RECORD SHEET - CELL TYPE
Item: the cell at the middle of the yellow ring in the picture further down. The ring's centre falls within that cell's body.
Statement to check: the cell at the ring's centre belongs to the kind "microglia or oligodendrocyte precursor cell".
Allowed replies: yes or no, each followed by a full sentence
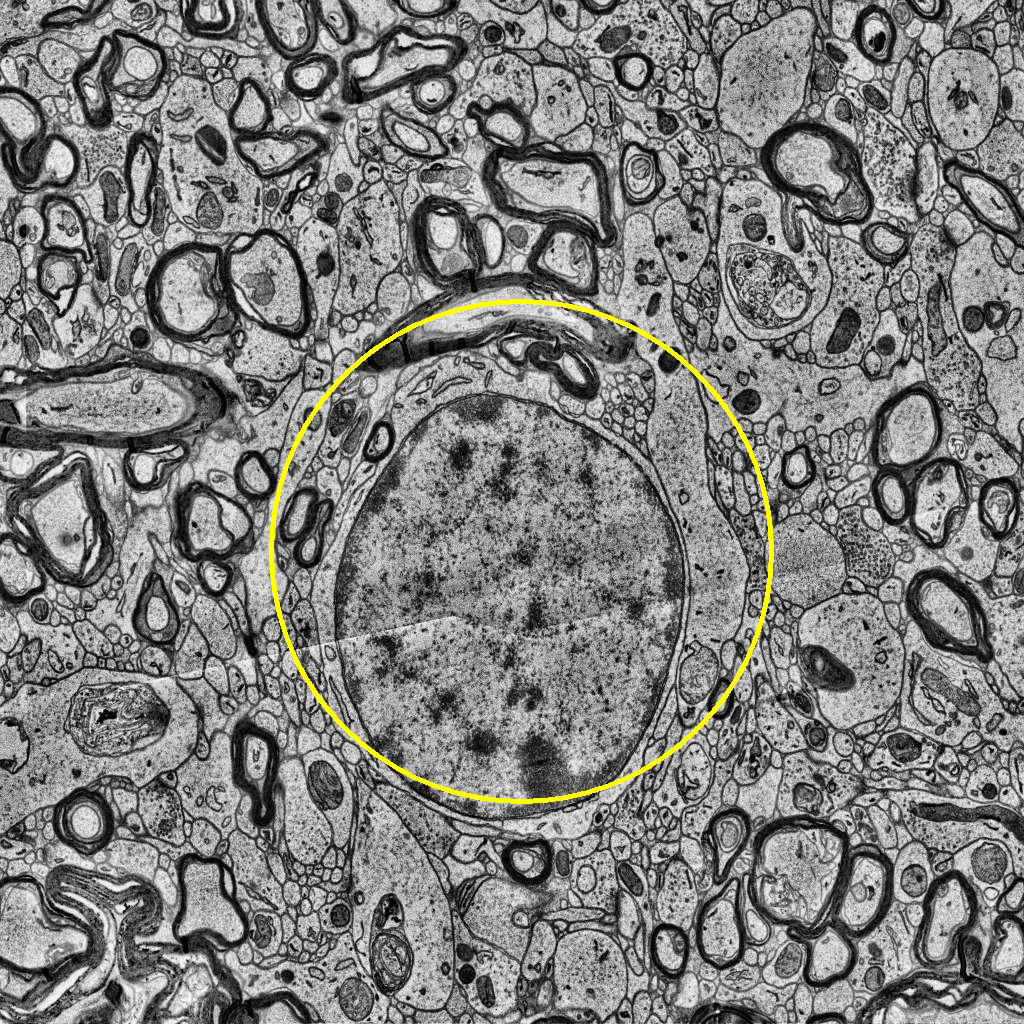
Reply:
Yes, the cell whose body contains the centre of the ring in the picture is of that kind.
